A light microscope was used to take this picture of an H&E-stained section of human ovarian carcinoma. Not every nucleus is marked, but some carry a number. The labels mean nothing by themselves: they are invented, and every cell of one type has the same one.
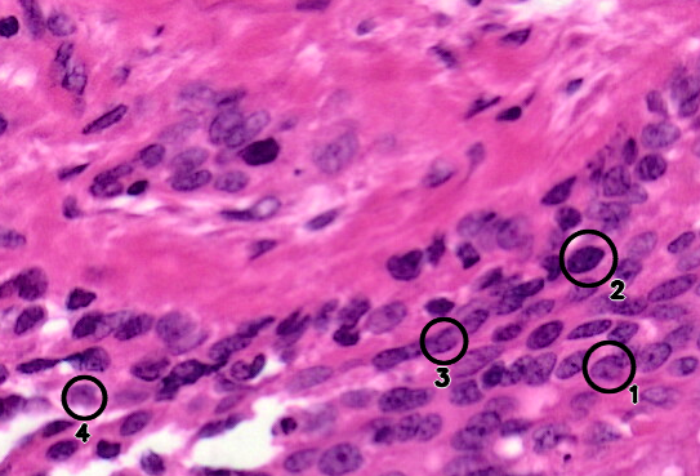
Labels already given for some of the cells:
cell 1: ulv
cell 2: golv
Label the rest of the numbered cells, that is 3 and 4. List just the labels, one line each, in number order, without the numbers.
golv
golv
